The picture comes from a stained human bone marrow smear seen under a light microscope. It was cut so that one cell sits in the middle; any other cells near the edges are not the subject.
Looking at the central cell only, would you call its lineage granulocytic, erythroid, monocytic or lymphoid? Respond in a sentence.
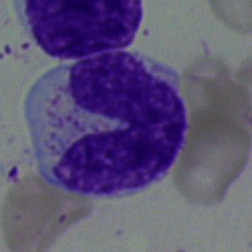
The cell in the middle is to be grouped with the granulocytic lineage.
